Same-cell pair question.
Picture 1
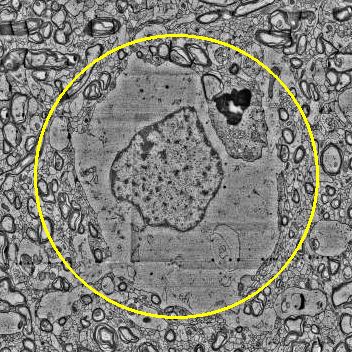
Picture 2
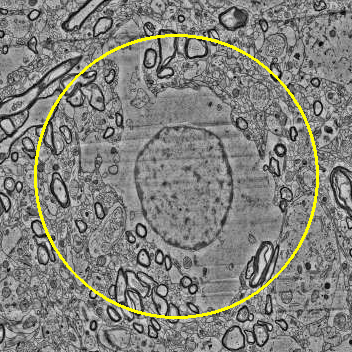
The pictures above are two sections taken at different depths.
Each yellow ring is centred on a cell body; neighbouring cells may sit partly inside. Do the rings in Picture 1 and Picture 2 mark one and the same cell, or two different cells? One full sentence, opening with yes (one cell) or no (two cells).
No, what the two rings mark is two different cells.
